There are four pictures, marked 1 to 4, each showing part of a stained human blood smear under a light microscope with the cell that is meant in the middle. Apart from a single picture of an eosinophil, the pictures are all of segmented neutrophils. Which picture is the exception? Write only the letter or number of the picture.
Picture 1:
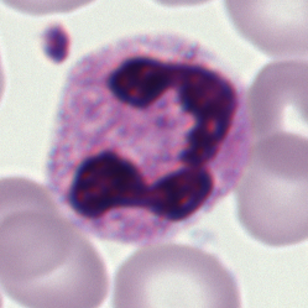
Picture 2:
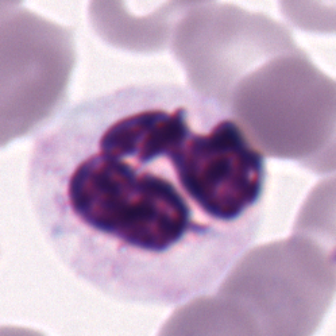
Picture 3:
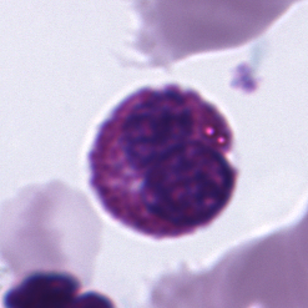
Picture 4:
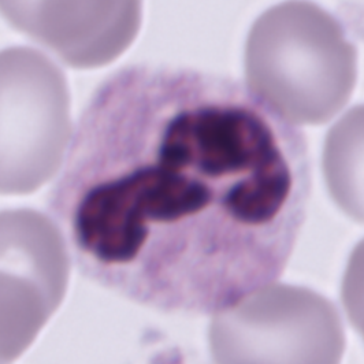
3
